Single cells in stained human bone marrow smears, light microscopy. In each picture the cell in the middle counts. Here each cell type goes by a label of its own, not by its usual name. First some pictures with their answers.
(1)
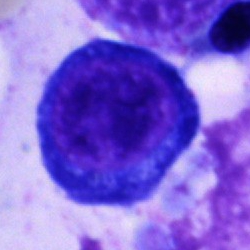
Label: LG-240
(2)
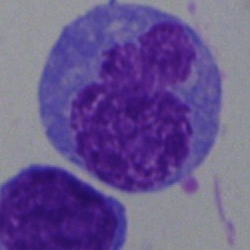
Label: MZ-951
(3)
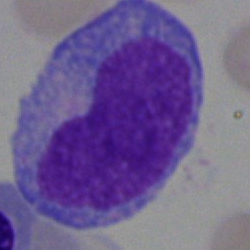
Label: MZ-951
